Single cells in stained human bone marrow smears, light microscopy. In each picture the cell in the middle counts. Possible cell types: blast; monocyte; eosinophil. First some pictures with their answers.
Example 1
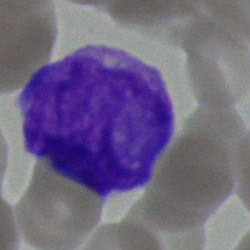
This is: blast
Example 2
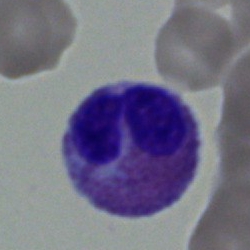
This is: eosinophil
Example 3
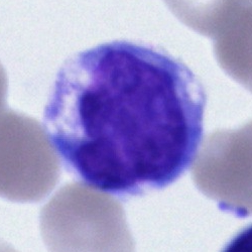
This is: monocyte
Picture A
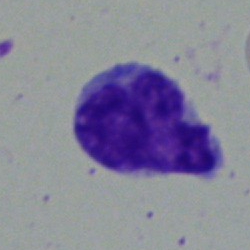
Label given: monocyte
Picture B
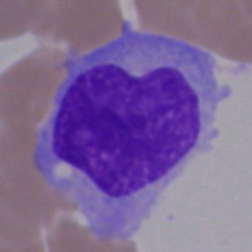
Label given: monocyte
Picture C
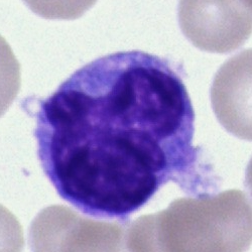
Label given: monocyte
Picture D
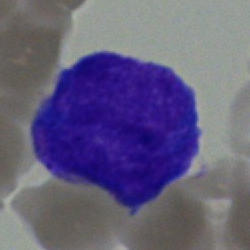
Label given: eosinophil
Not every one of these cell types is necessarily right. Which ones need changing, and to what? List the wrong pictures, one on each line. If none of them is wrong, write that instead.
D: blast, not eosinophil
